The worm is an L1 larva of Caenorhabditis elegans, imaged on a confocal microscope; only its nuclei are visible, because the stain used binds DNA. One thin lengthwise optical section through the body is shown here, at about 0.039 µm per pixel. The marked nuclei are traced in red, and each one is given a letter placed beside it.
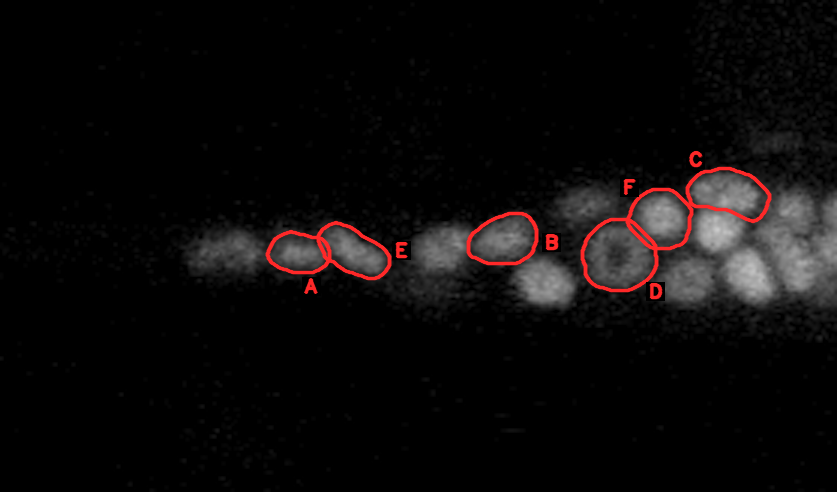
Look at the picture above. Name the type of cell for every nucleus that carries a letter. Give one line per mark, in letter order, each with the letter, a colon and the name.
A: hypodermal cell (hyp)
B: hypodermal cell (hyp)
C: body wall muscle cell
D: seam cell
E: hypodermal cell (hyp)
F: neuron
